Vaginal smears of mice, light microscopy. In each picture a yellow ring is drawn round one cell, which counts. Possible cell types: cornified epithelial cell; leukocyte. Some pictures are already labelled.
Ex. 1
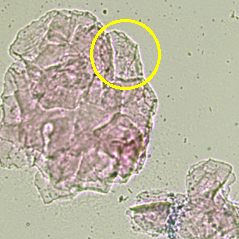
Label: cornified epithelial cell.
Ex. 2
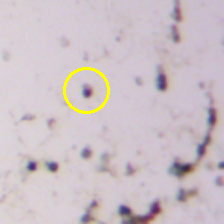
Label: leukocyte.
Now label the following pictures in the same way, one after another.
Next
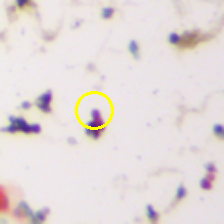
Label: leukocyte.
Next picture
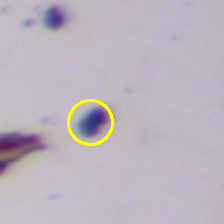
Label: leukocyte.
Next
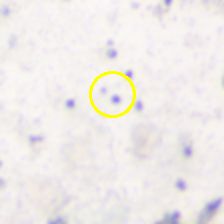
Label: leukocyte.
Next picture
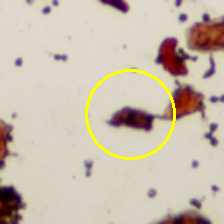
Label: cornified epithelial cell.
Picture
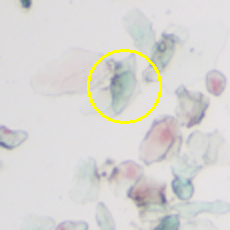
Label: cornified epithelial cell.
